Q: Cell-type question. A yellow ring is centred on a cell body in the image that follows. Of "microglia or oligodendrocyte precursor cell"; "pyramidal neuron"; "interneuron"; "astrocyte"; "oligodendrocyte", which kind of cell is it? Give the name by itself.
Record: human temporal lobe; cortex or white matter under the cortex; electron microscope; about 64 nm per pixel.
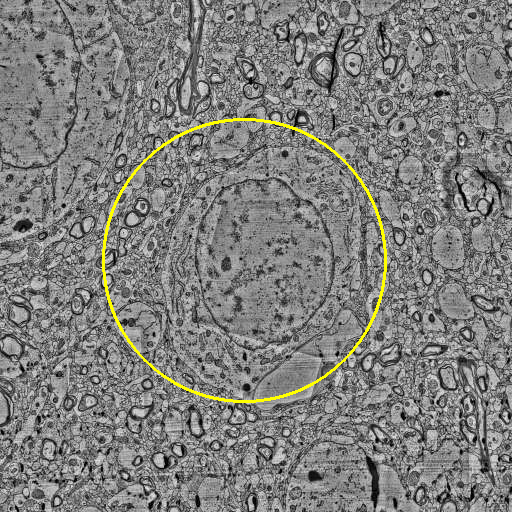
interneuron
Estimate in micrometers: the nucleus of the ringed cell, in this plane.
The ringed cell's nucleus measures approximately 11 by 9 micrometres in this plane.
